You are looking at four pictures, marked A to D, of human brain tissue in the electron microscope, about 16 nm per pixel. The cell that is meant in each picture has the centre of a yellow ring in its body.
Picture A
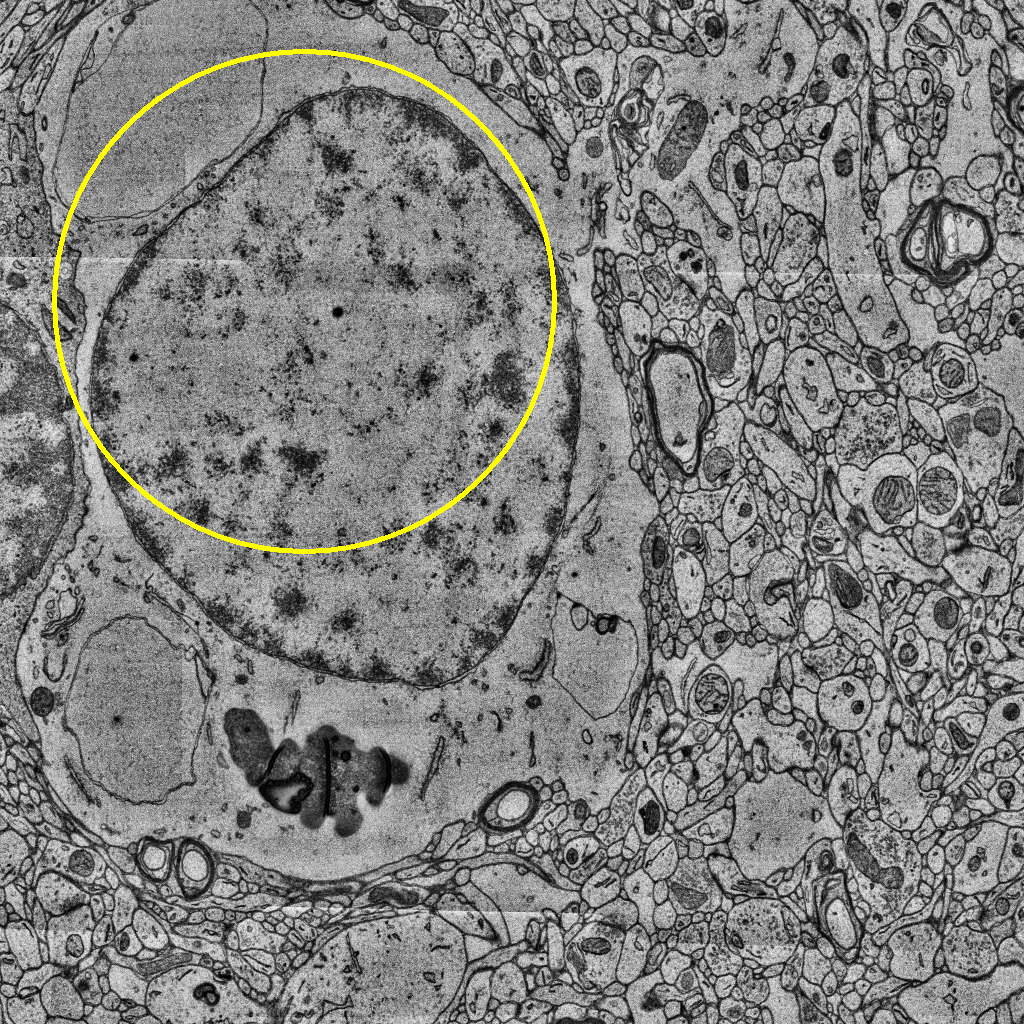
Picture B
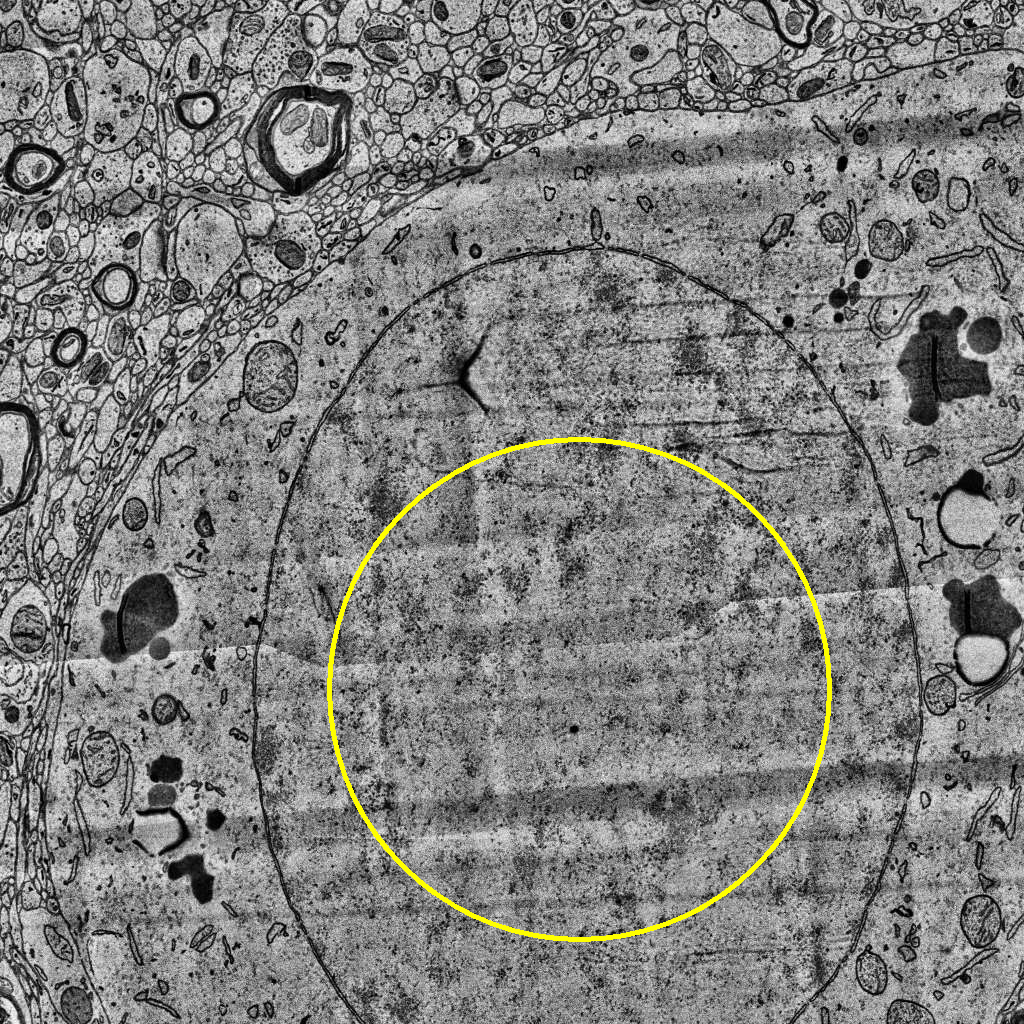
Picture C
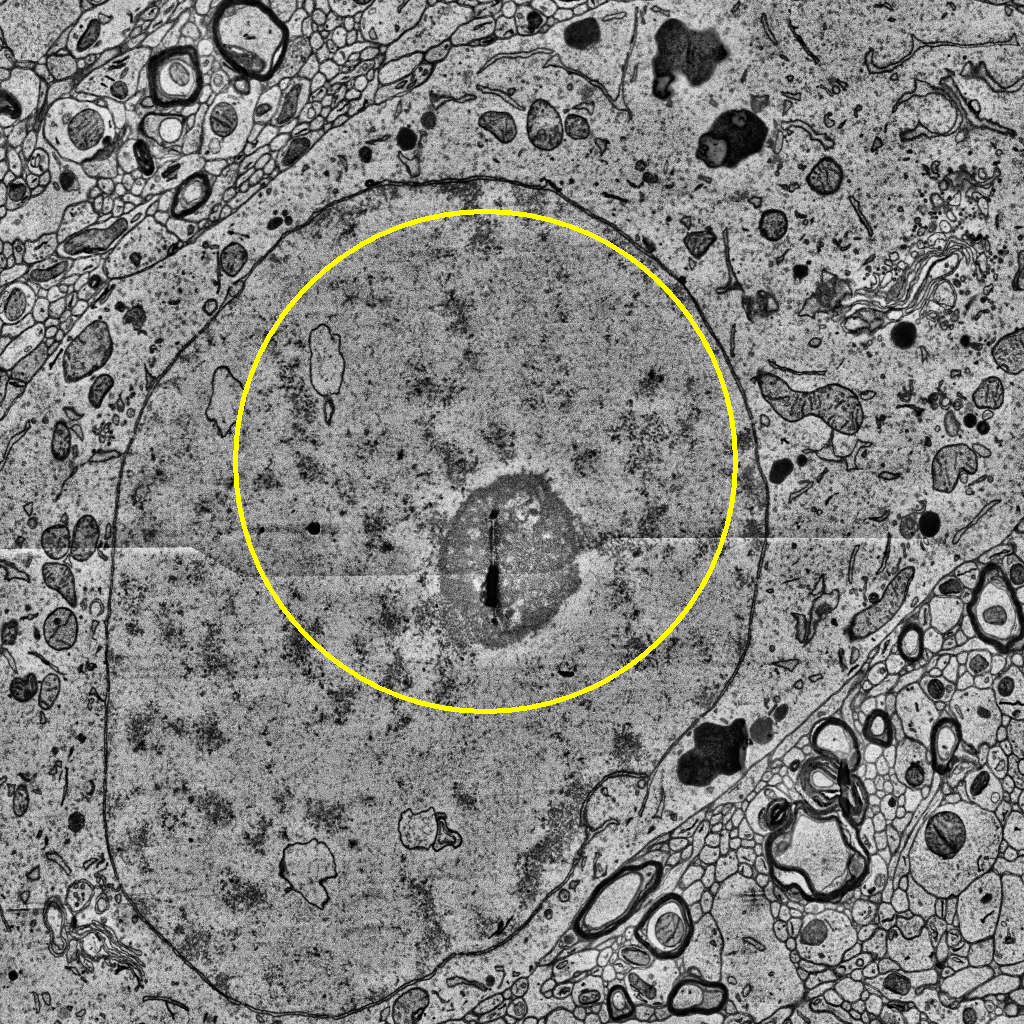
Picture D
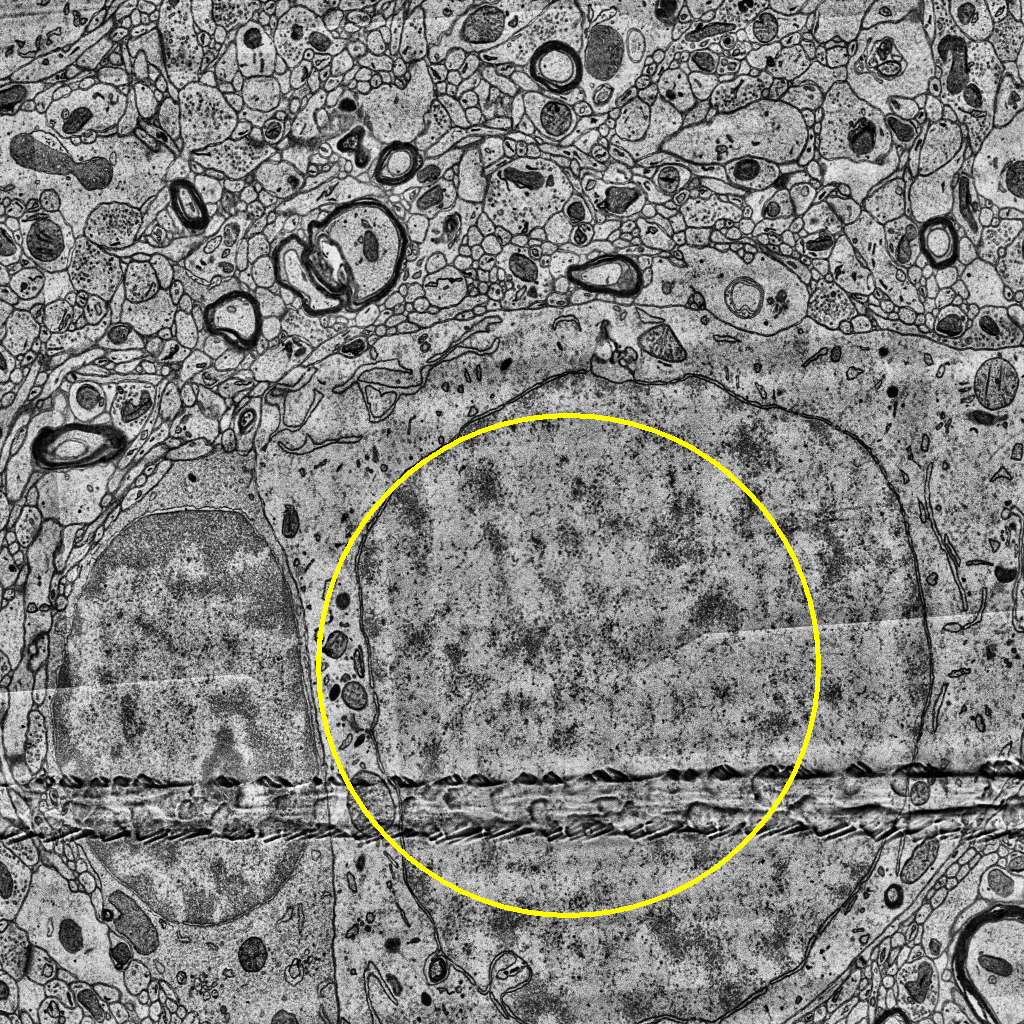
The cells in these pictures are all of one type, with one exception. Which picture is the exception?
All pictures except A show pyramidal neurons; picture A shows an astrocyte.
